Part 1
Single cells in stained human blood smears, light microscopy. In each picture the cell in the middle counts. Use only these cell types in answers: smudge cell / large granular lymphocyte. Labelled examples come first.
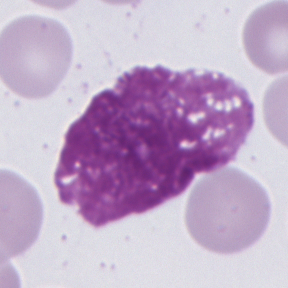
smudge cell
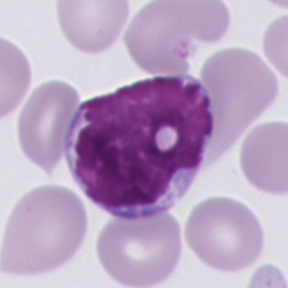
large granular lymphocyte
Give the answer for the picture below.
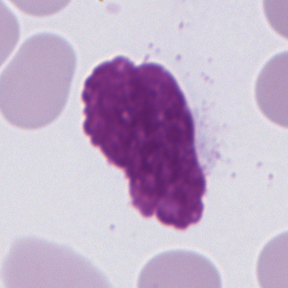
smudge cell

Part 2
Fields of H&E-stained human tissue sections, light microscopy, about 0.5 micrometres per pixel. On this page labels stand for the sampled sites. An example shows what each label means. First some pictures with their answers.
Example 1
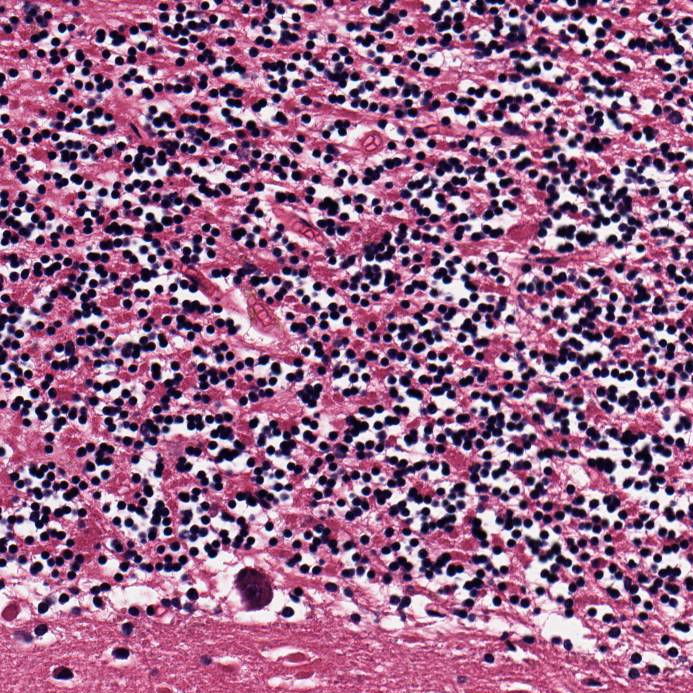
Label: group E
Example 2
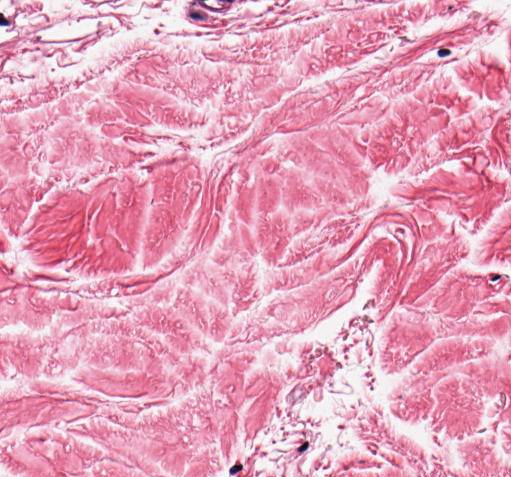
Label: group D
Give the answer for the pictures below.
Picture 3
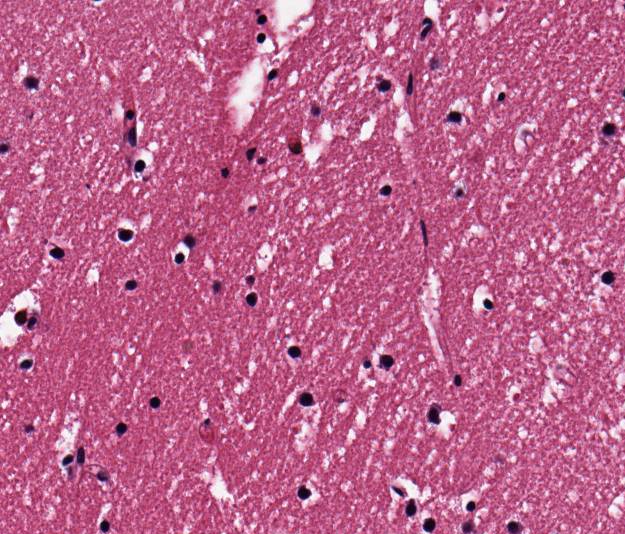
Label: group E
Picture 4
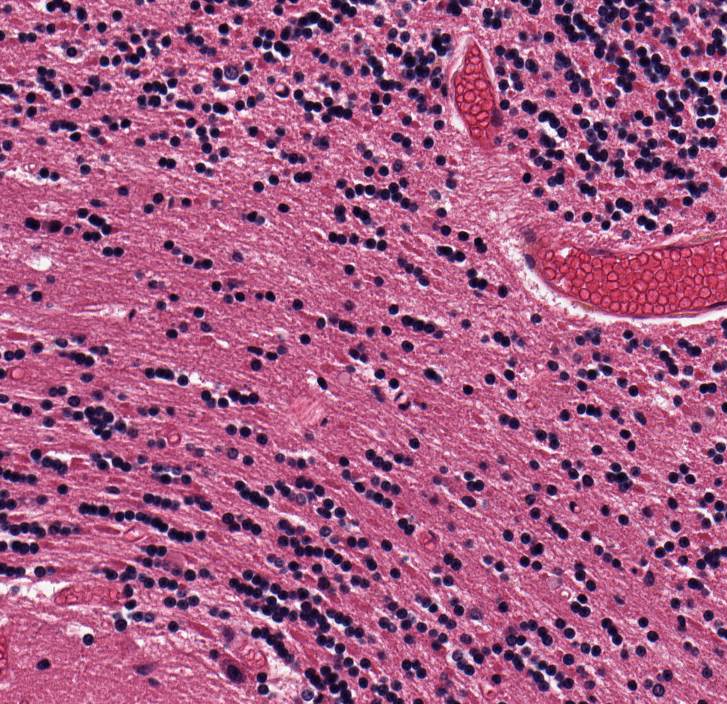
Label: group E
